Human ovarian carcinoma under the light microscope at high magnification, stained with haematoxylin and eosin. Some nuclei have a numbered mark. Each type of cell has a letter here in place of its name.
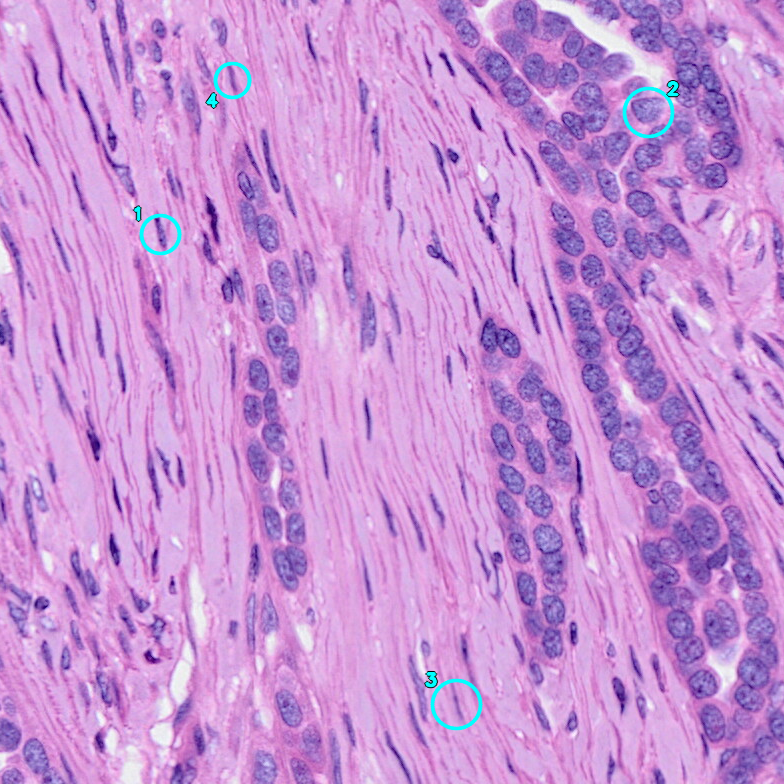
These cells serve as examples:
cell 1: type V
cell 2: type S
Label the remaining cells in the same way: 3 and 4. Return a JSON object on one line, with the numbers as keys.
{"3": "type V", "4": "type V"}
